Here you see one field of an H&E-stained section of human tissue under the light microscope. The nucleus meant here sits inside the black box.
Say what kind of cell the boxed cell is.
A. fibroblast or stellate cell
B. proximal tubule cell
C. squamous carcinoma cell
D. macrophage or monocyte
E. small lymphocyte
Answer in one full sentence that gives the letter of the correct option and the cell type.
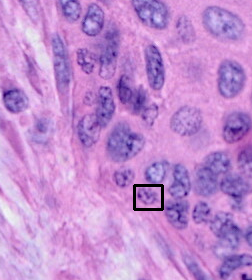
In keeping with option C, the boxed cell is a squamous carcinoma cell.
